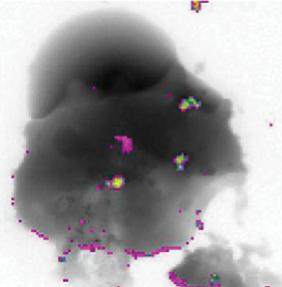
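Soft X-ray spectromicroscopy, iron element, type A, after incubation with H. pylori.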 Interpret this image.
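An erythrocyte appears as an irregular grey mass whose outline is ragged and broken, with paler fragments spreading towards the lower part of the field. The colour map is sparse, with only a few small bright spots inside the cell and a purple fringe along its lower edge.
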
